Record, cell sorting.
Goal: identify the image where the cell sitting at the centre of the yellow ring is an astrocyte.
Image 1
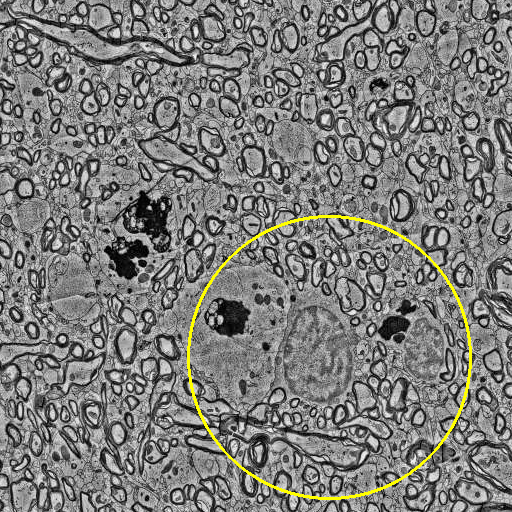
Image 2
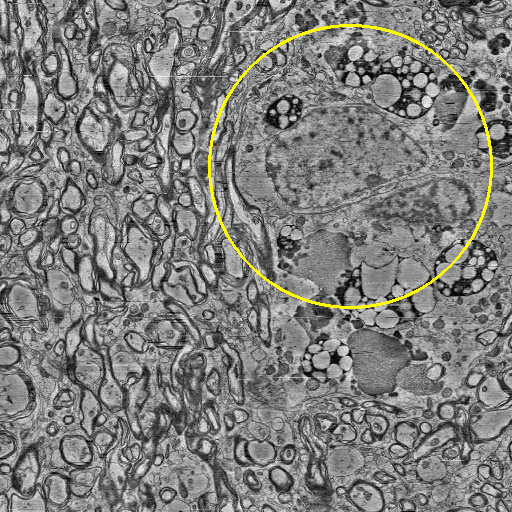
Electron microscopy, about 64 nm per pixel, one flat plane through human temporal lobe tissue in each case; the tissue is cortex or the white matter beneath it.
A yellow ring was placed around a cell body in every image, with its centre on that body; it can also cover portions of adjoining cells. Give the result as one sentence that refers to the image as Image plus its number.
Image 2 shows the requested cell sitting right at the centre of its ring.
